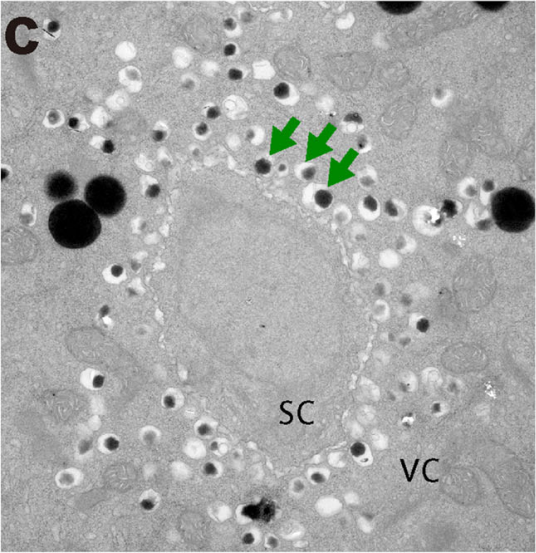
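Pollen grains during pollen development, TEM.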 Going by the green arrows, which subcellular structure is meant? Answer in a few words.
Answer: Vacuoles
